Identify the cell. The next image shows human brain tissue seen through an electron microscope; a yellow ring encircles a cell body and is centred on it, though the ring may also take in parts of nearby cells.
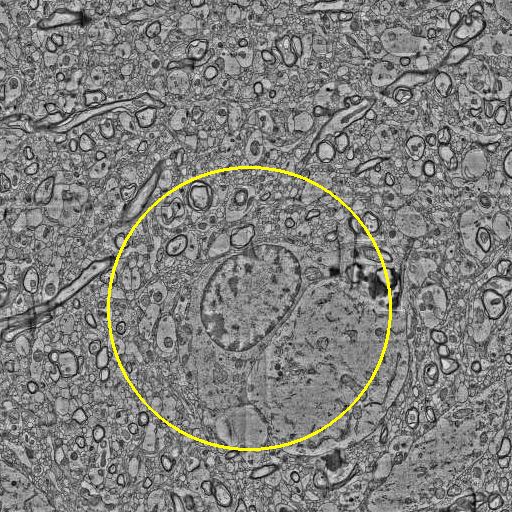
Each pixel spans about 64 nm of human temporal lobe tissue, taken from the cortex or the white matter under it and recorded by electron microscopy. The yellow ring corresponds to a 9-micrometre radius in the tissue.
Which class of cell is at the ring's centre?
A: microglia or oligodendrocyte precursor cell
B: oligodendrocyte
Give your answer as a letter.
B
